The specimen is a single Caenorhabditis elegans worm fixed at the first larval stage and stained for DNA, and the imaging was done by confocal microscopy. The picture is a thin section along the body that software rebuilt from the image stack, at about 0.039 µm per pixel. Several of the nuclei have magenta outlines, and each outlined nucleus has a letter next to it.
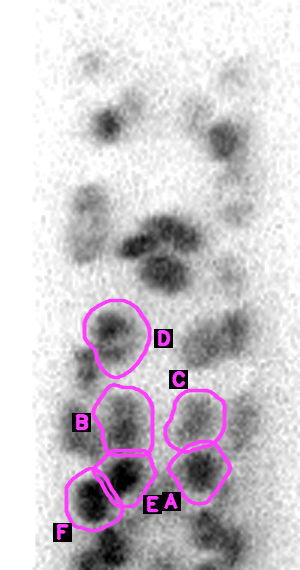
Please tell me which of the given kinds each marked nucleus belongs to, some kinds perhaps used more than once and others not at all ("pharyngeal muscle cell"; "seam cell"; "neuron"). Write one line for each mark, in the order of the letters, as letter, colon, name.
A: neuron
B: pharyngeal muscle cell
C: pharyngeal muscle cell
D: pharyngeal muscle cell
E: neuron
F: neuron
